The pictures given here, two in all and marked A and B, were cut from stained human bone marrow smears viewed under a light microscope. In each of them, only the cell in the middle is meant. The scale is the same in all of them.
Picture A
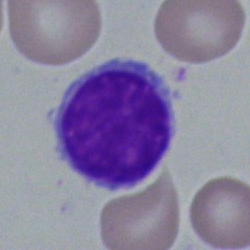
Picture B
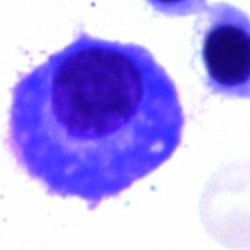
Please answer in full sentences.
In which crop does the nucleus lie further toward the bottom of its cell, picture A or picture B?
Seen within its cell, the nucleus in picture A lies further toward the bottom.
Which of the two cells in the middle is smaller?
The cell in picture A is smaller; the one in picture B has about 2 times its area.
